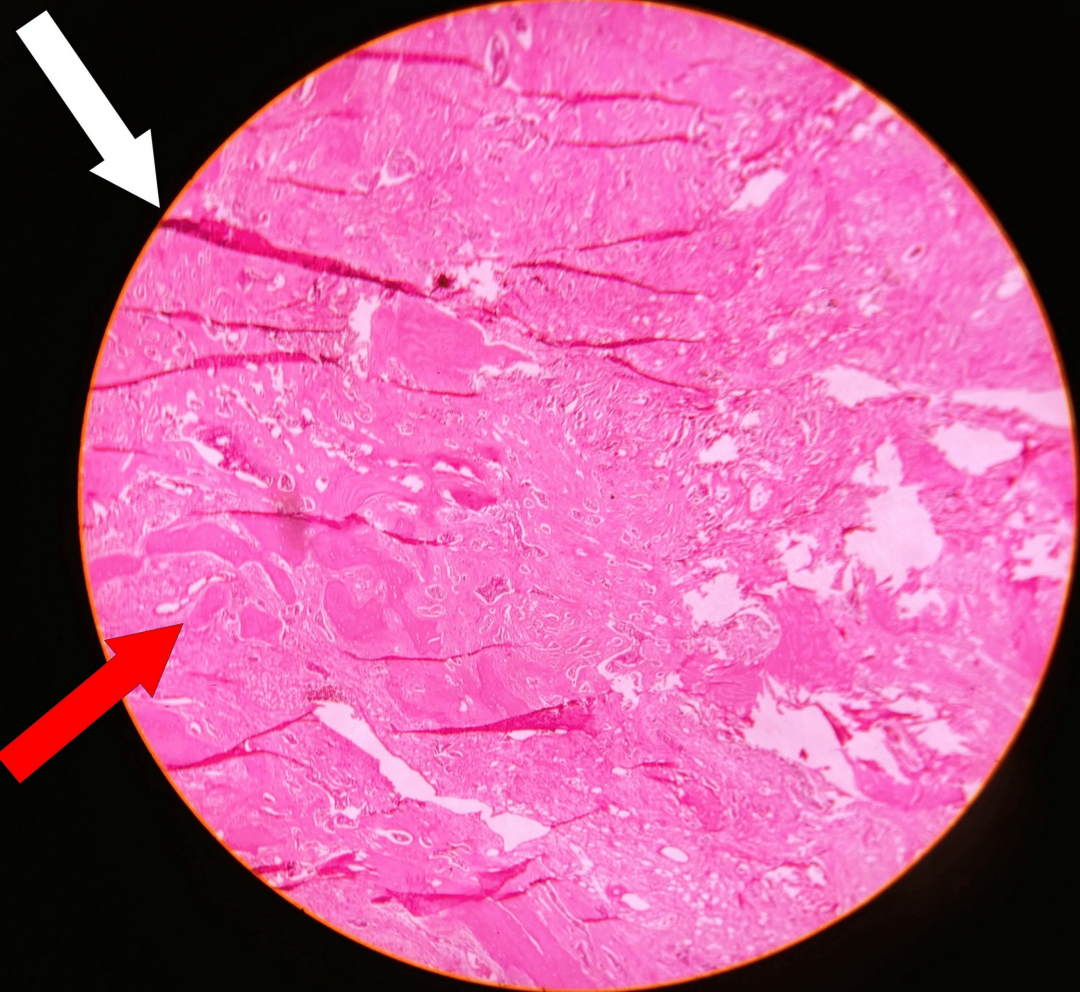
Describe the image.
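The tissue is densely eosinophilic, and individual nuclei cannot be resolved at this magnification. Solid islands and cord-like strands run through the field with a broadly streaming orientation. Numerous small round to elongated clefts and spaces are scattered among them. Toward the right there are larger, irregular pale spaces with ragged edges. Several long, thin, darker red linear streaks cross the field roughly horizontally, the most prominent near the upper left. A few tiny dark brown-black specks lie in the upper half.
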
